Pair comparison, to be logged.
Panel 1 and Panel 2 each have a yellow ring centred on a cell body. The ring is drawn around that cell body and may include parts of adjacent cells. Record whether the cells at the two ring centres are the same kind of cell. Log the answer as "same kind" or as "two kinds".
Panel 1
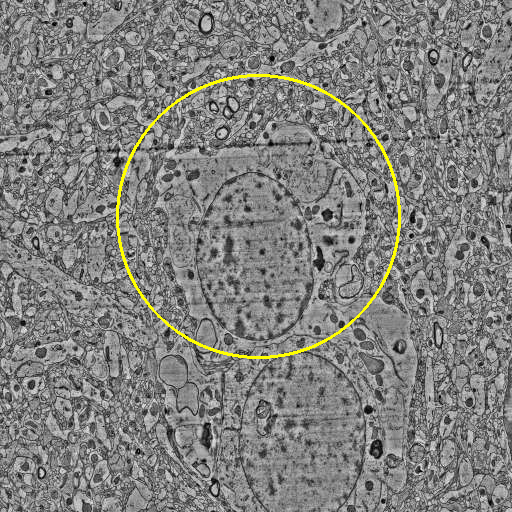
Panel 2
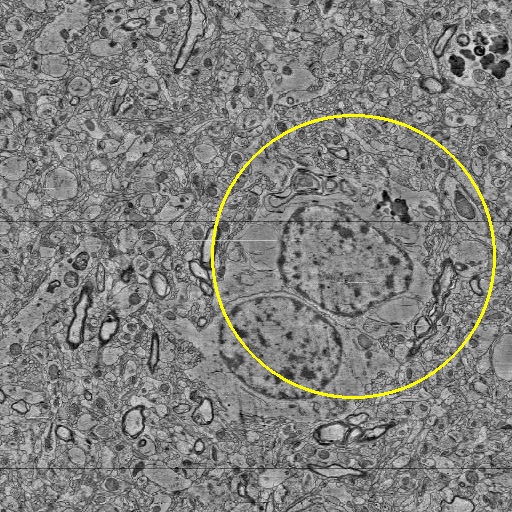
same kind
